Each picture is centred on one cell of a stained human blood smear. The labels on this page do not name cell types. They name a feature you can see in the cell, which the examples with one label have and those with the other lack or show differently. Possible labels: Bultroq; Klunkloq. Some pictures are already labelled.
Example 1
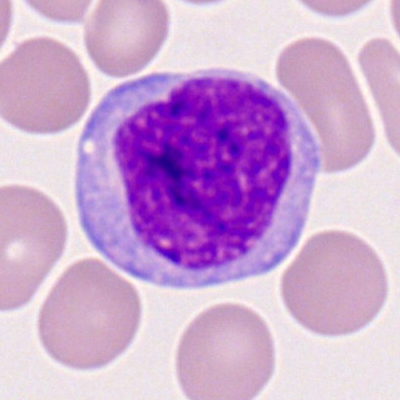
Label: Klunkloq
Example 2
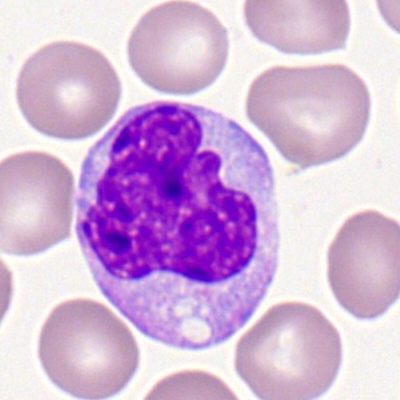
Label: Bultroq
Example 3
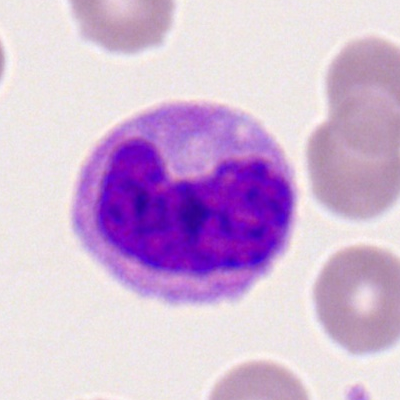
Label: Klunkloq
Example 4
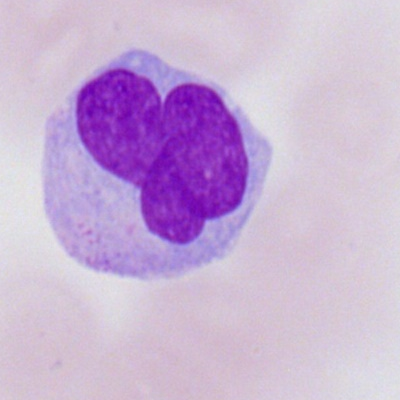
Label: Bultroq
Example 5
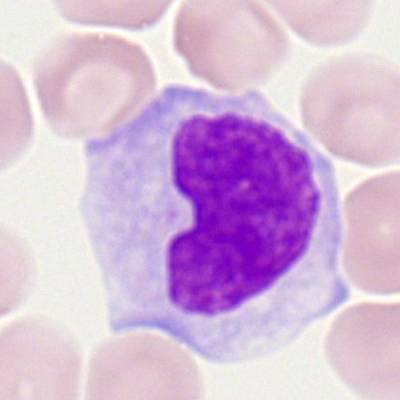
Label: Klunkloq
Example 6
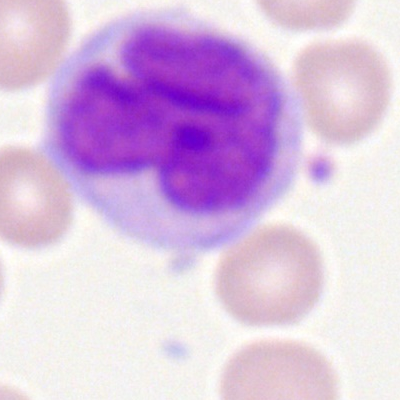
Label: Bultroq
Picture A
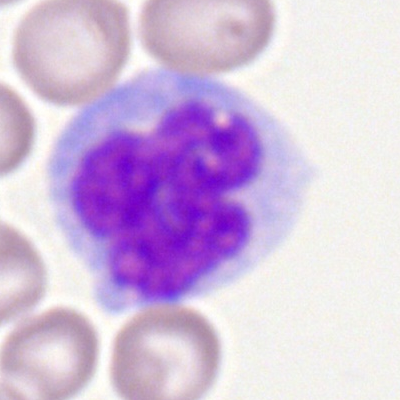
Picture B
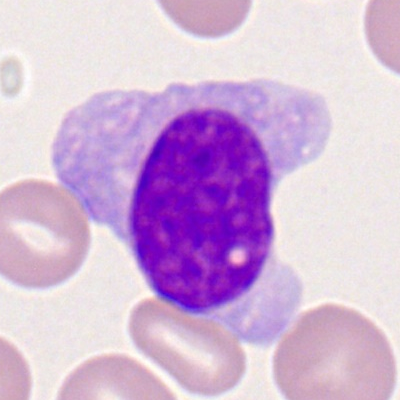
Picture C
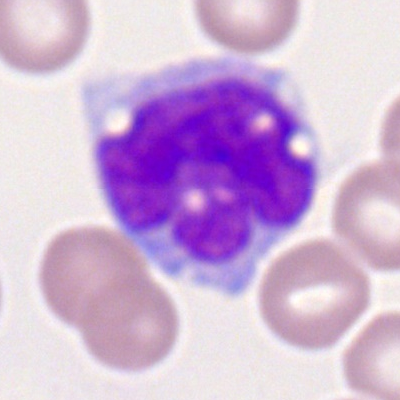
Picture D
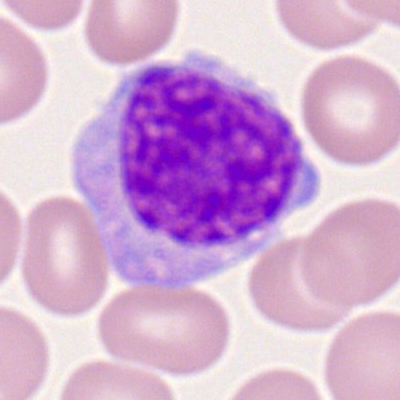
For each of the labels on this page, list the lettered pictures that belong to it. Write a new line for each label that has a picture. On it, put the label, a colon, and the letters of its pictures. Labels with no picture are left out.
Bultroq: A, C
Klunkloq: B, D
